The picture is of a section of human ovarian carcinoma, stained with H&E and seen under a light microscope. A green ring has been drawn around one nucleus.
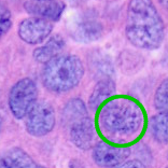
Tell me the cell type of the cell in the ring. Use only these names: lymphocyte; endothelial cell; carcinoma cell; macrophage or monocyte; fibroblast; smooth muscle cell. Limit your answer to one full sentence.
For cell typing purposes, the cell in the ring is a carcinoma cell.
